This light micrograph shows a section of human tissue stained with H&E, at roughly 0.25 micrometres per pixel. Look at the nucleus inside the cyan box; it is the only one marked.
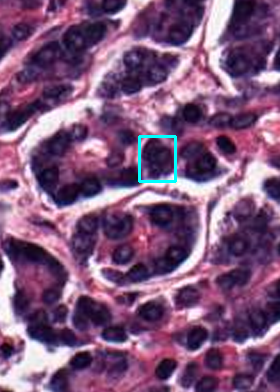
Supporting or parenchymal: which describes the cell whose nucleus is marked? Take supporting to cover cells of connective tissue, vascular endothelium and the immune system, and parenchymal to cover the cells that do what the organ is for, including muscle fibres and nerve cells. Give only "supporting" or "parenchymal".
parenchymal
